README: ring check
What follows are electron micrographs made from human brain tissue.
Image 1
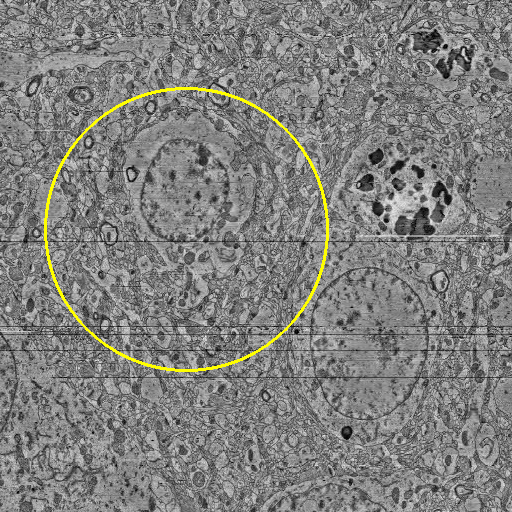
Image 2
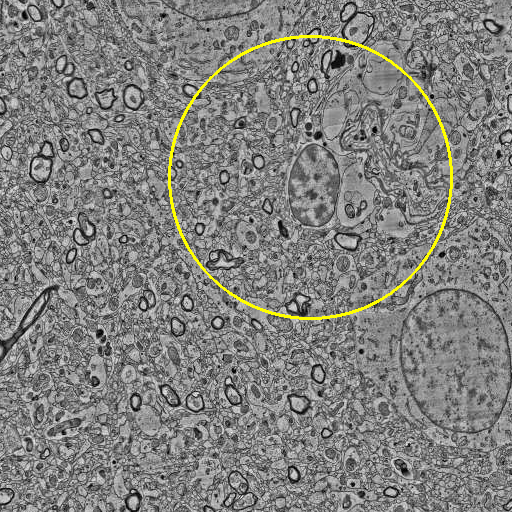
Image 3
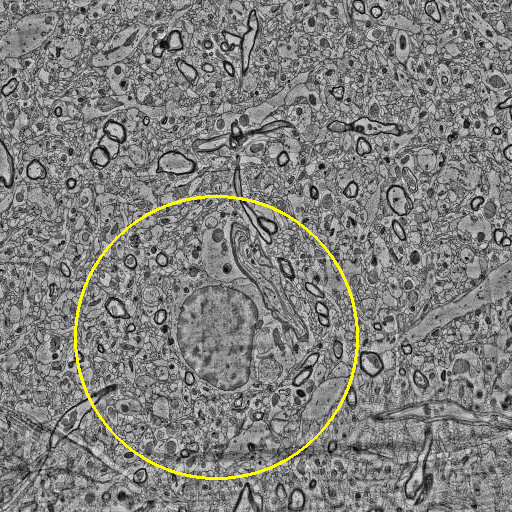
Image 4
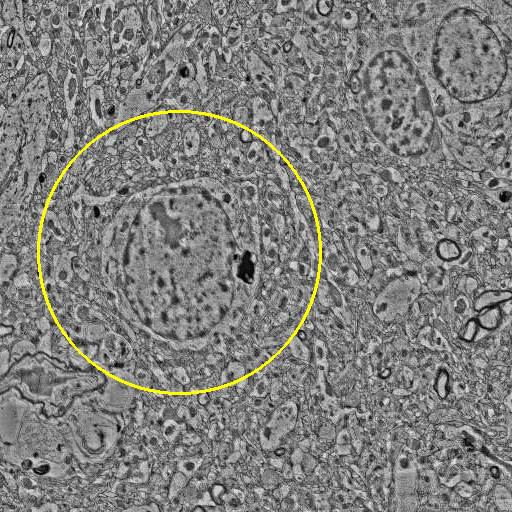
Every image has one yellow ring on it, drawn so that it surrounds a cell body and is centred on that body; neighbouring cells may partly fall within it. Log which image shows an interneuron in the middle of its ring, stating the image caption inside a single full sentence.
Image 4 is where the cell at the ring's centre matches the one asked for.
